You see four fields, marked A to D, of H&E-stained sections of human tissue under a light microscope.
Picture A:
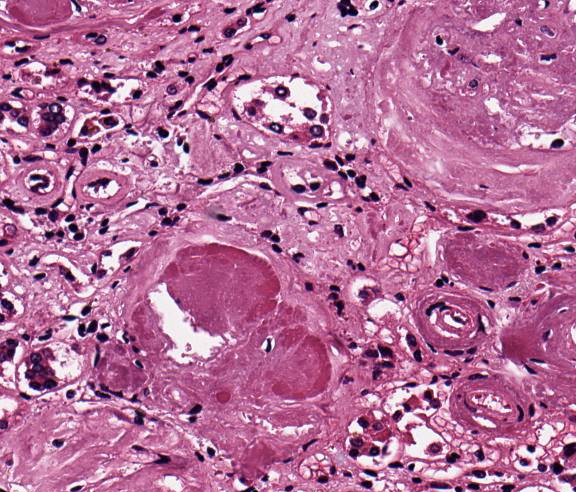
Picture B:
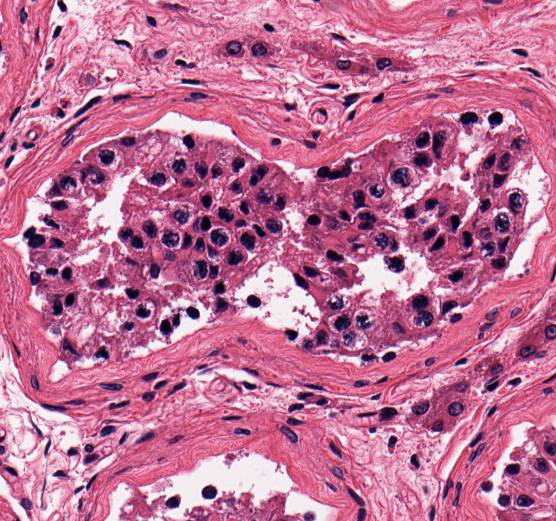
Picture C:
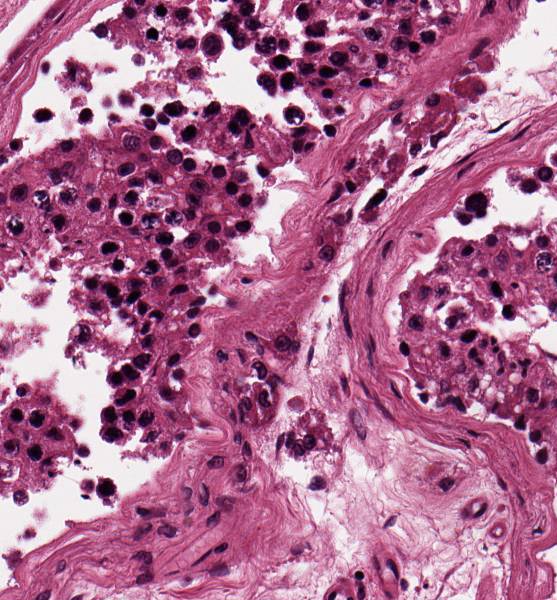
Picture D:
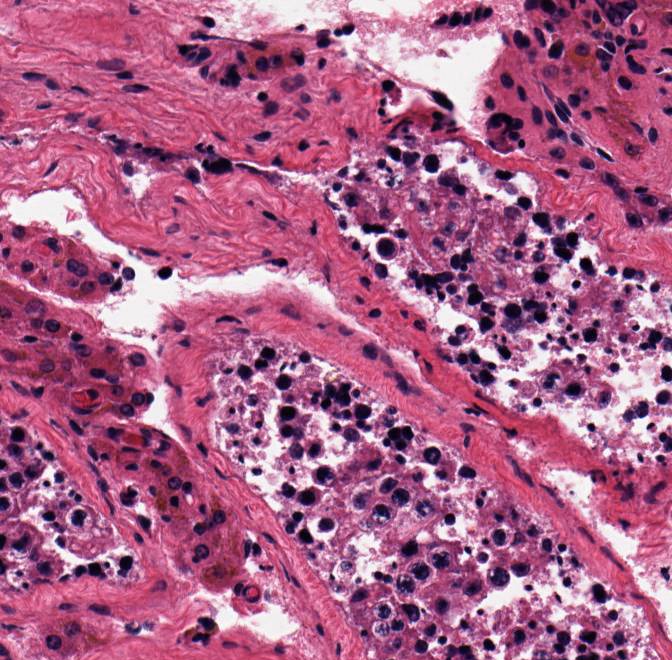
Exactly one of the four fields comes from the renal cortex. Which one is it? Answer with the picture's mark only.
A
